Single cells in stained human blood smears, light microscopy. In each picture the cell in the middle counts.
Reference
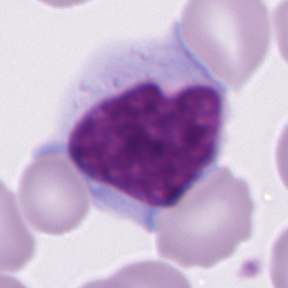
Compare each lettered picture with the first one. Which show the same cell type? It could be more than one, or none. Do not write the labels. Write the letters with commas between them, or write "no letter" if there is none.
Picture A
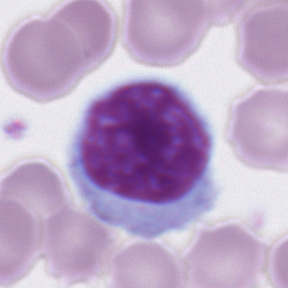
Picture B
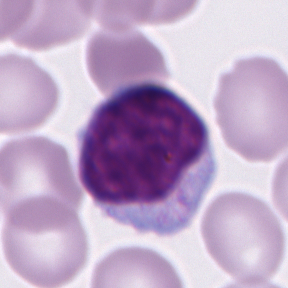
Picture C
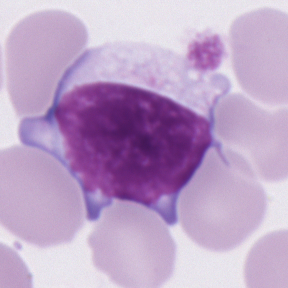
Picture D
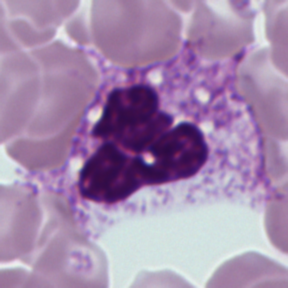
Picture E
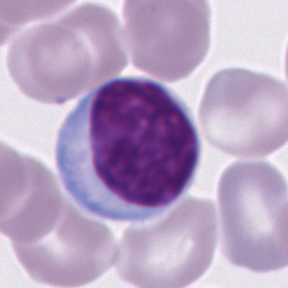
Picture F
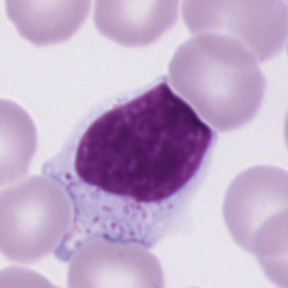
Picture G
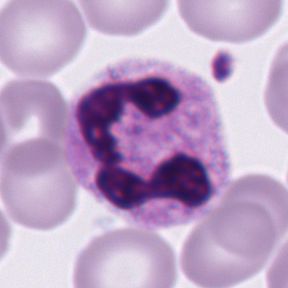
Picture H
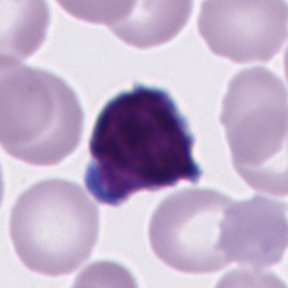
C, F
